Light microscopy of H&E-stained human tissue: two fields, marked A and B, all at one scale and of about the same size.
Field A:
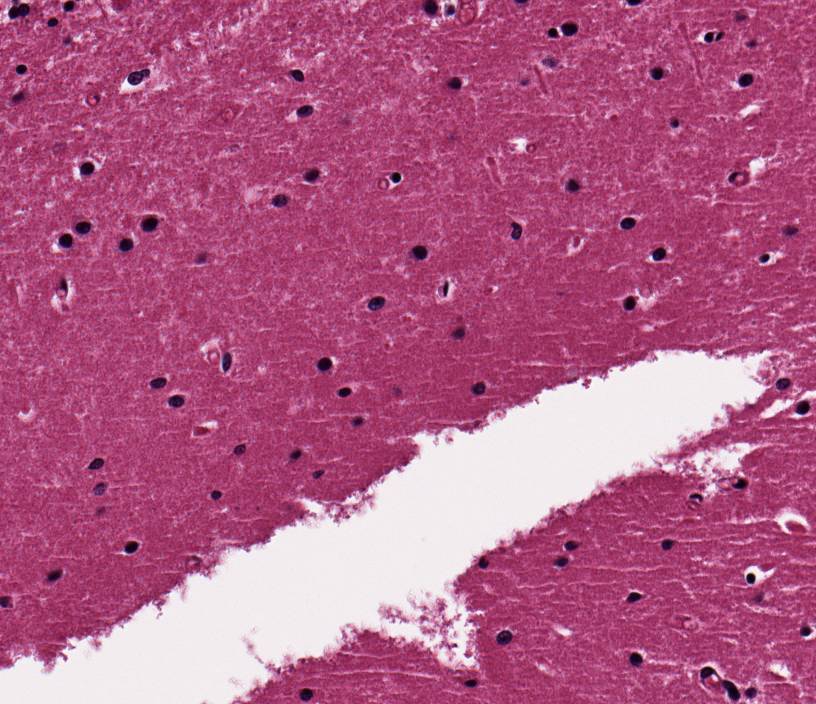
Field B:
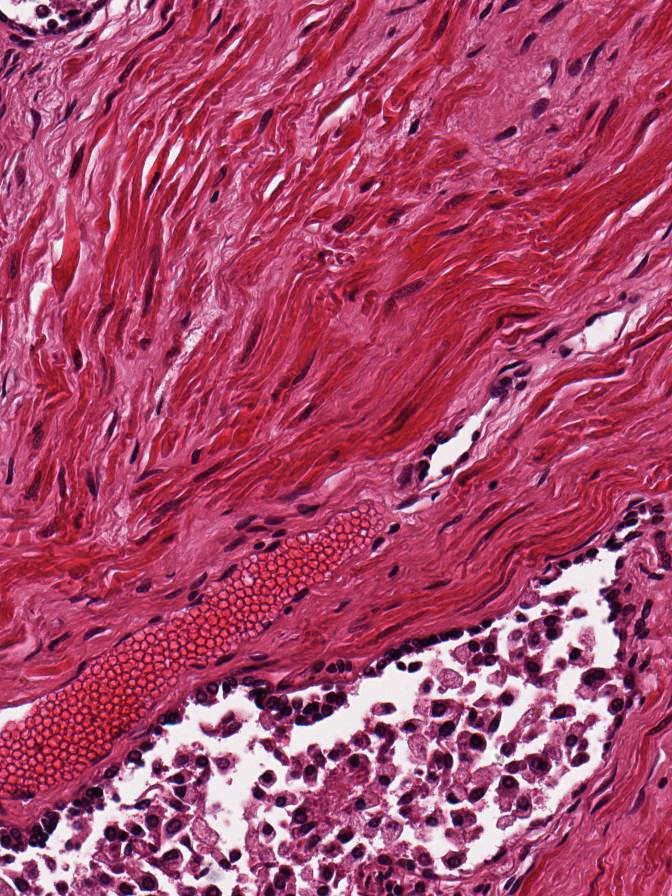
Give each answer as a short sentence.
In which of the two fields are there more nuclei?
More nuclei lie in field B than in field A.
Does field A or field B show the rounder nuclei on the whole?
It is field A whose nuclei are the rounder.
